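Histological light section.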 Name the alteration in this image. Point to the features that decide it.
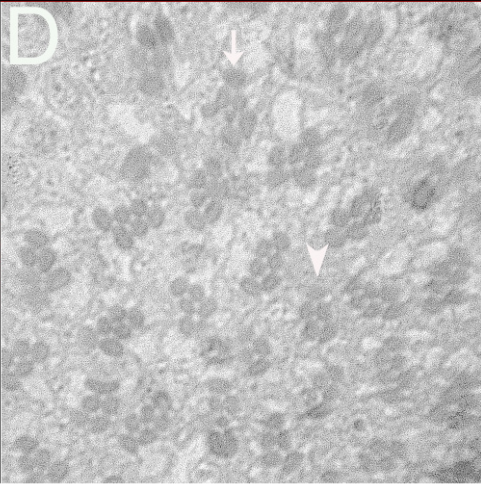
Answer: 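Rounded clusters of small dark profiles are scattered unevenly across the section. The clusters are not aligned in regular rows. The answer: disarrayed pattern of ommatidia.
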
